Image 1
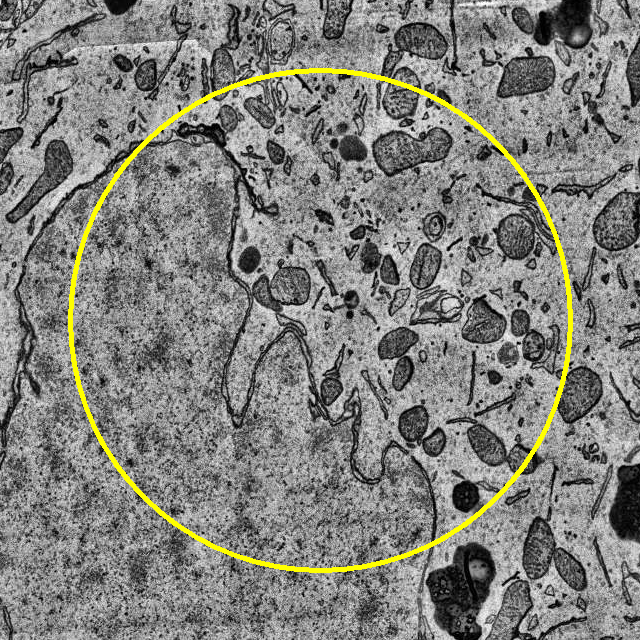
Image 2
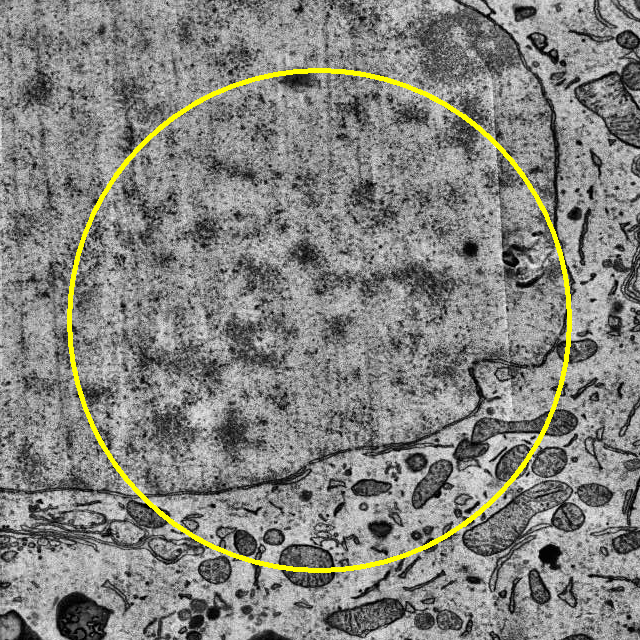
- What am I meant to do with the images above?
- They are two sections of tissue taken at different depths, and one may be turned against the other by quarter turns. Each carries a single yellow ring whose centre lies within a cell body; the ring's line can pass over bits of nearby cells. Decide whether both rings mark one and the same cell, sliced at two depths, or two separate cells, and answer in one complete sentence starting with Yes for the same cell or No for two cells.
Yes, the same cell appears within both yellow rings.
